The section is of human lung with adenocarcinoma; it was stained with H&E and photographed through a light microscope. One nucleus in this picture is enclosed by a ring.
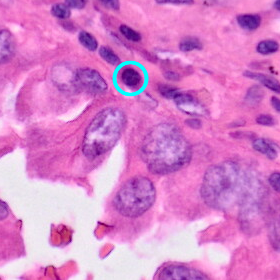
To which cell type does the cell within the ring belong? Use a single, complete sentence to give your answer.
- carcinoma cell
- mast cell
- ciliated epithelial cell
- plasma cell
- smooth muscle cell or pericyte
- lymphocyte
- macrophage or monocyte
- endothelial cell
Within the stained tissue, the cell within the ring is a plasma cell.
